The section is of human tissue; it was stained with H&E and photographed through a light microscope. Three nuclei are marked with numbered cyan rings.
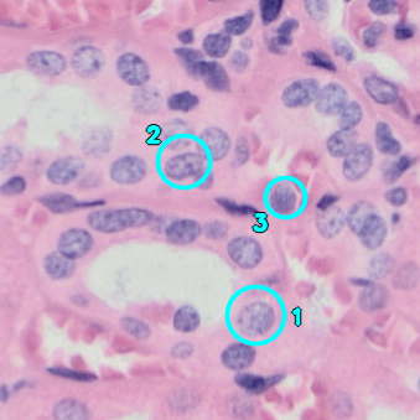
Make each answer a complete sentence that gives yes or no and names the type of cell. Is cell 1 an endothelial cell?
No, not an endothelial cell: the cell with number 1 is a collecting duct cell.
